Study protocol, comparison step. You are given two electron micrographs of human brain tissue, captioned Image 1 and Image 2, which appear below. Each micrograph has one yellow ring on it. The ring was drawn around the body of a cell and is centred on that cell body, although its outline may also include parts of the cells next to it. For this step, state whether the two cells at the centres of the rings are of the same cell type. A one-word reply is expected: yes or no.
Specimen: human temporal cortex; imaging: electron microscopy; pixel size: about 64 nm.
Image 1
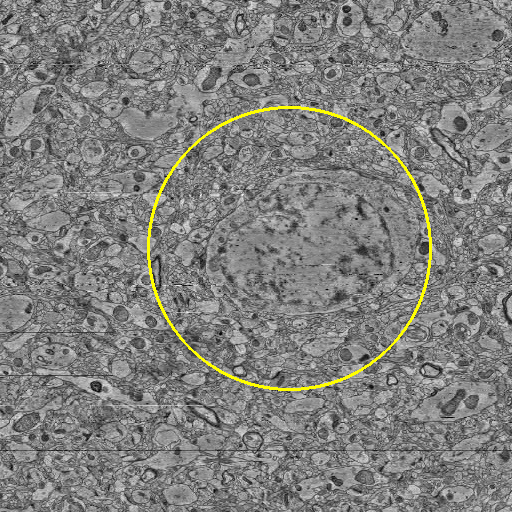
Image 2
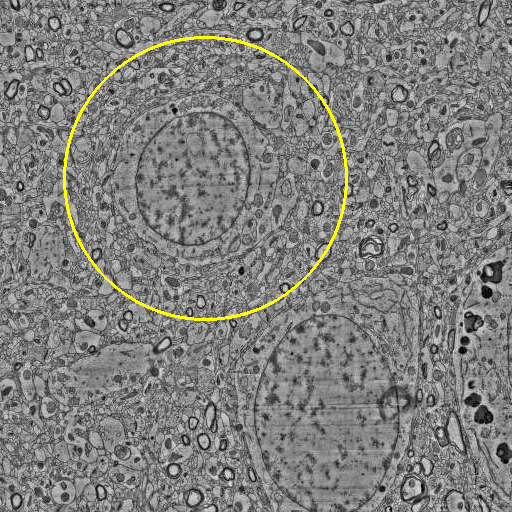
no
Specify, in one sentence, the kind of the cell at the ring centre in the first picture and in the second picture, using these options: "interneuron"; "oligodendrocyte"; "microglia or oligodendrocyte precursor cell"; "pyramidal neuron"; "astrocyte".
So the first is an interneuron, the second a pyramidal neuron.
